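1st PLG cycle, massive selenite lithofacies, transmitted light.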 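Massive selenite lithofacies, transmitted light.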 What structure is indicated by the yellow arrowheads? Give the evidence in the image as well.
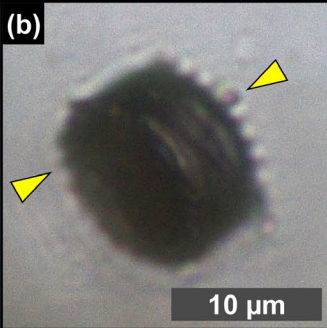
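A dark round frustule with a row of small projections along its margin. The arrowheads point at these marginal projections. So: valve processes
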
